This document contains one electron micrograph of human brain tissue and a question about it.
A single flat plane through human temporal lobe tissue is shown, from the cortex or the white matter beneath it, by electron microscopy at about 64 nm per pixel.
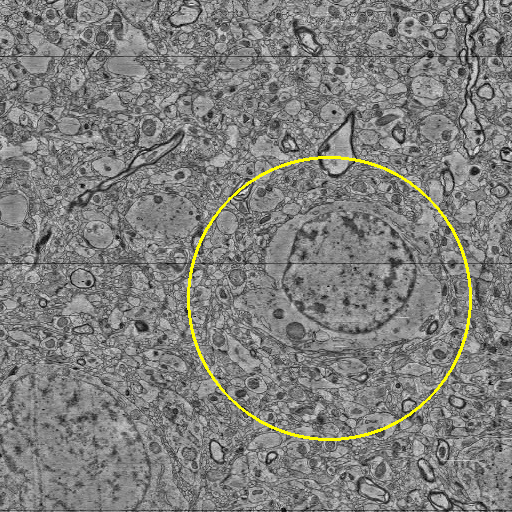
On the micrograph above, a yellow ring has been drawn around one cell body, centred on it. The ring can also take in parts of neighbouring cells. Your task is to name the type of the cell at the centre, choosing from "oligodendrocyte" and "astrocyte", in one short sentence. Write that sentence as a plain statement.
Here the ring is centred on an astrocyte.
